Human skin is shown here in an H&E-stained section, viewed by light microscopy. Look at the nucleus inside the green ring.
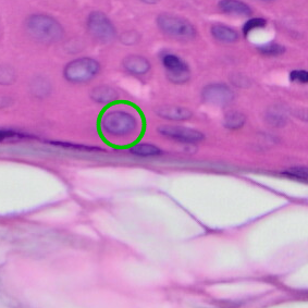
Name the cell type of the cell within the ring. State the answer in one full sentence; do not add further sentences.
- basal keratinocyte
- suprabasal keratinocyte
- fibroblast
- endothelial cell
Speaking plainly, the cell within the ring is nothing other than a suprabasal keratinocyte.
